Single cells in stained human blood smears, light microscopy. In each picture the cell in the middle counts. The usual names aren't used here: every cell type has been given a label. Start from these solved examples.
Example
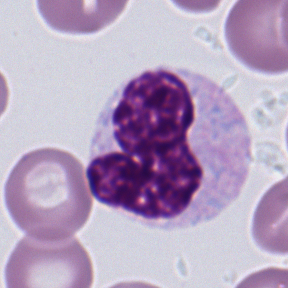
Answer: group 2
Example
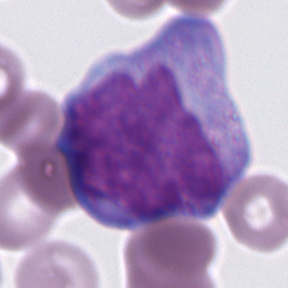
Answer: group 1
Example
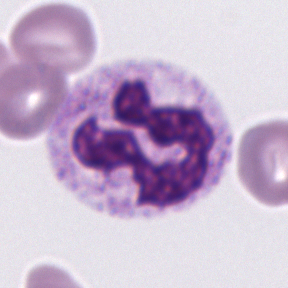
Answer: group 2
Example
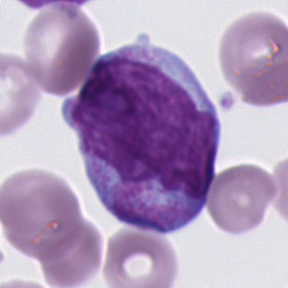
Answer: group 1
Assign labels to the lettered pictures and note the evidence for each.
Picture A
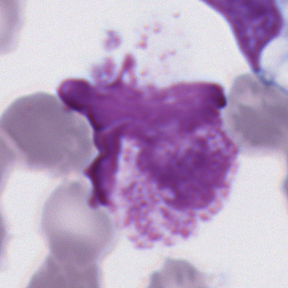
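group 2. Evidence: The nucleus stretches as a broad, folded band across the upper part of the cell.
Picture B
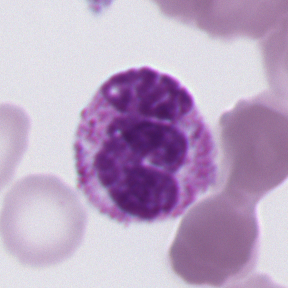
group 2. Evidence: The nucleus is divided into several lobes.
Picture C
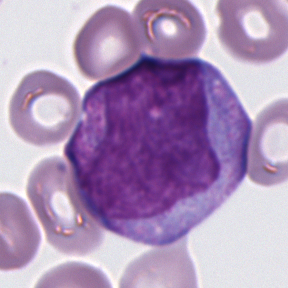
group 1. Evidence: The nucleus is large, fills most of the cell, and sits toward the upper left.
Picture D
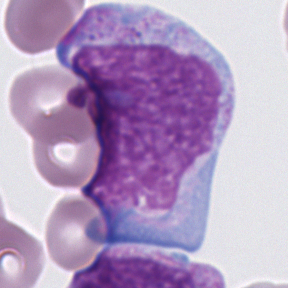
group 1. Evidence: The nucleus fills most of the cell.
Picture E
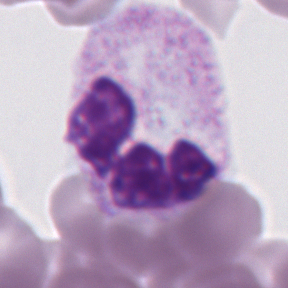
group 2. Evidence: The nucleus is divided into three lobes joined in a curved row.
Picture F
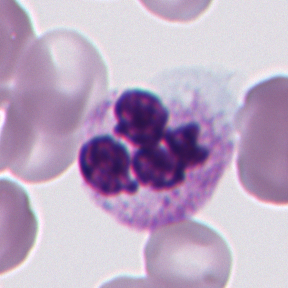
group 2. Evidence: The cytoplasm is abundant and pale pinkish-lilac.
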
